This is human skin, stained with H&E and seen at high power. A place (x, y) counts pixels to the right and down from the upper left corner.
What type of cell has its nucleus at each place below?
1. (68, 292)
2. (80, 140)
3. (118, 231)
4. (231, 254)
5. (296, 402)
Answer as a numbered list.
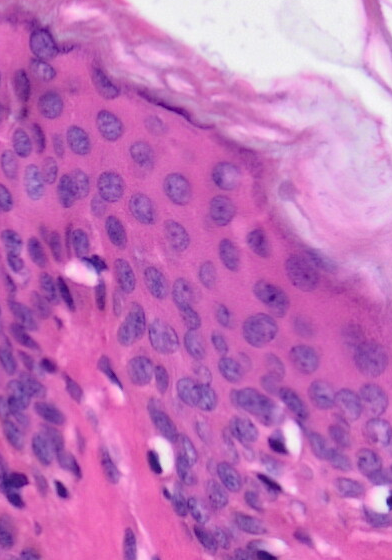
1. basal keratinocyte
2. suprabasal keratinocyte
3. suprabasal keratinocyte
4. suprabasal keratinocyte
5. basal keratinocyte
